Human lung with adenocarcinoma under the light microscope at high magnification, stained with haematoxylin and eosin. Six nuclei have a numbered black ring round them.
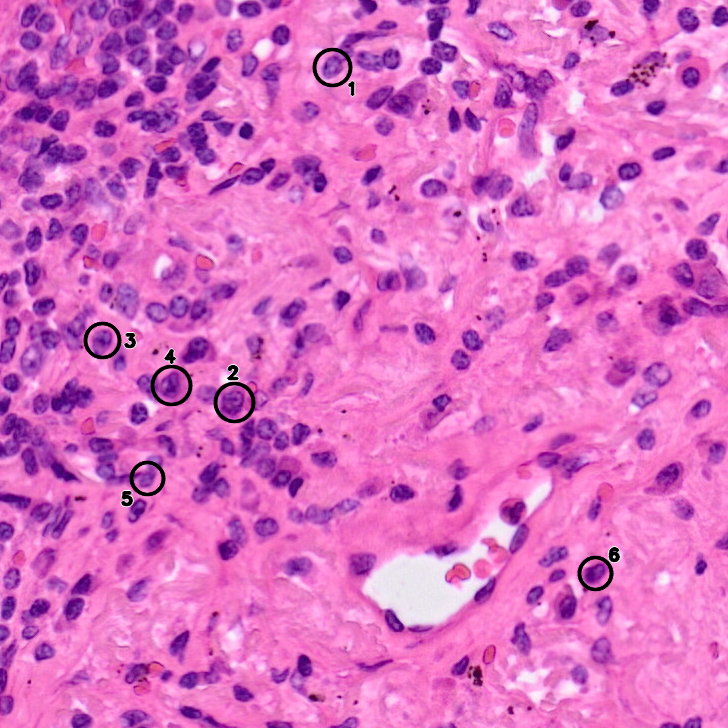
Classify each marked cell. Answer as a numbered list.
1. lymphocyte
2. plasma cell
3. lymphocyte
4. plasma cell
5. lymphocyte
6. plasma cell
